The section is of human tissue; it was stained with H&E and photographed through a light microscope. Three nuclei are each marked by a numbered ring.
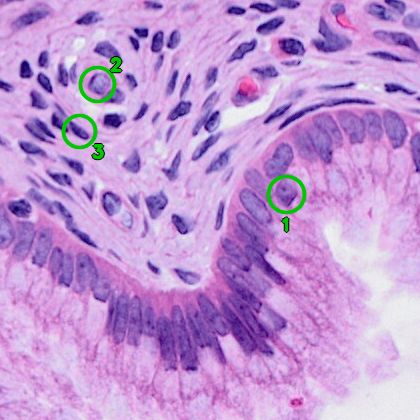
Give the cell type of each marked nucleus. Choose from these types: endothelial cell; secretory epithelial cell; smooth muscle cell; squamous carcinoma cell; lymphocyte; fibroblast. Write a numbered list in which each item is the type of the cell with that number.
1. secretory epithelial cell
2. endothelial cell
3. fibroblast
